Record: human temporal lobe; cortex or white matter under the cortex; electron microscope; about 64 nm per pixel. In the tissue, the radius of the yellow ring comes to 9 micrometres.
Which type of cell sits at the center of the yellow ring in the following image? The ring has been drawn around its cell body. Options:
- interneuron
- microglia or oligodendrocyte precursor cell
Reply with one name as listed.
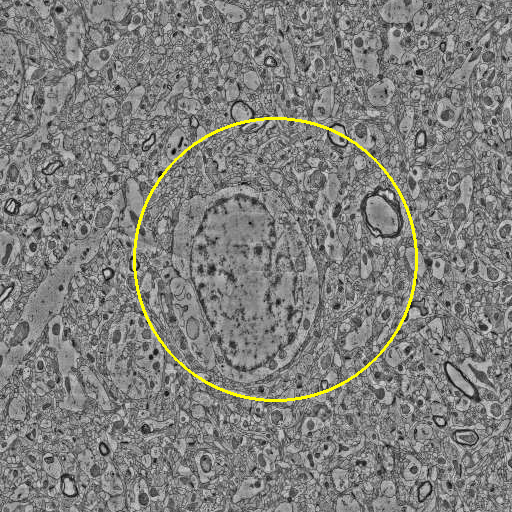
interneuron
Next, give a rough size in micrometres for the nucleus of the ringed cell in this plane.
Approximately 11 by 7 micrometers in this plane.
